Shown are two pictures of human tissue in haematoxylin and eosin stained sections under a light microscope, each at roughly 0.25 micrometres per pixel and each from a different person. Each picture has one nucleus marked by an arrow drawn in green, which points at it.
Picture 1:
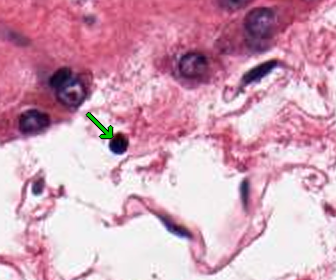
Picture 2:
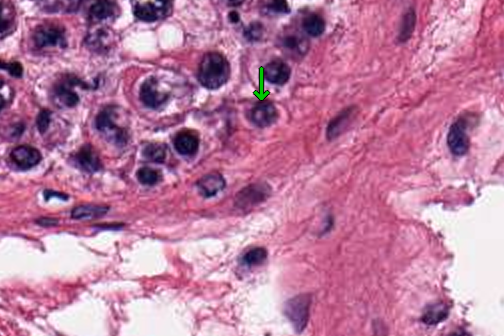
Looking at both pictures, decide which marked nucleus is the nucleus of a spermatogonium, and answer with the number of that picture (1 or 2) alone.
2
